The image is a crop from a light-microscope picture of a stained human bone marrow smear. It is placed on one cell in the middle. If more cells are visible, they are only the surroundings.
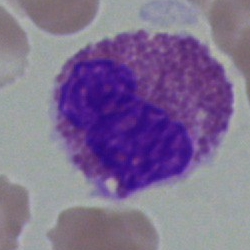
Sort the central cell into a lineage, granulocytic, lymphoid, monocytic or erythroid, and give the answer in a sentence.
For the cell at the center, the lineage is granulocytic.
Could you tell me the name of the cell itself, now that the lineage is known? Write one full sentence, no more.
The middle cell in this particular crop is an eosinophil.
